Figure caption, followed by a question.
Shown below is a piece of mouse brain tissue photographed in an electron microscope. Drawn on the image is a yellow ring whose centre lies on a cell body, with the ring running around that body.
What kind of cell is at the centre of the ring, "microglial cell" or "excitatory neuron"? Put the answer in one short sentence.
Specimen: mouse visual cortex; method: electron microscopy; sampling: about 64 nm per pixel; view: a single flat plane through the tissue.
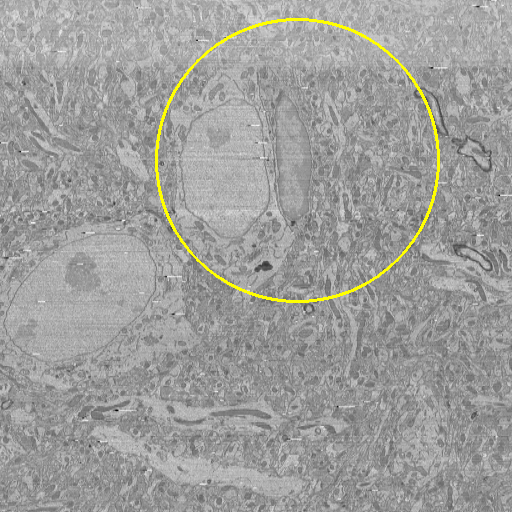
The ring marks the cell body of a microglial cell.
